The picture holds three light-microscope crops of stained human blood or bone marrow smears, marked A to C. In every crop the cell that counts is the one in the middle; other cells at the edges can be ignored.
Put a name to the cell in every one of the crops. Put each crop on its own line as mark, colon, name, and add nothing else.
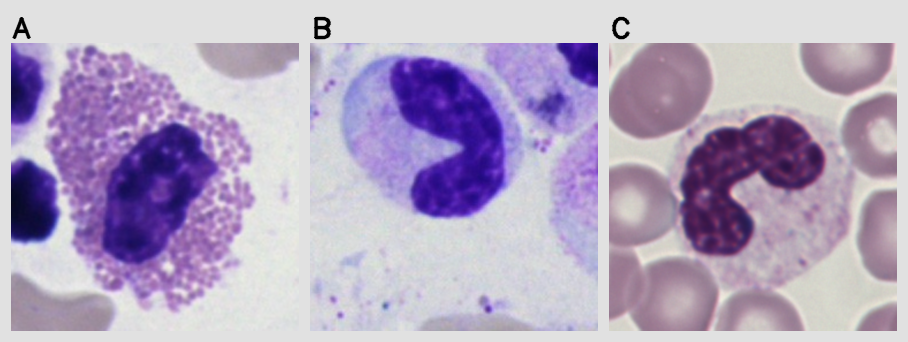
A: eosinophil
B: band neutrophil
C: band neutrophil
